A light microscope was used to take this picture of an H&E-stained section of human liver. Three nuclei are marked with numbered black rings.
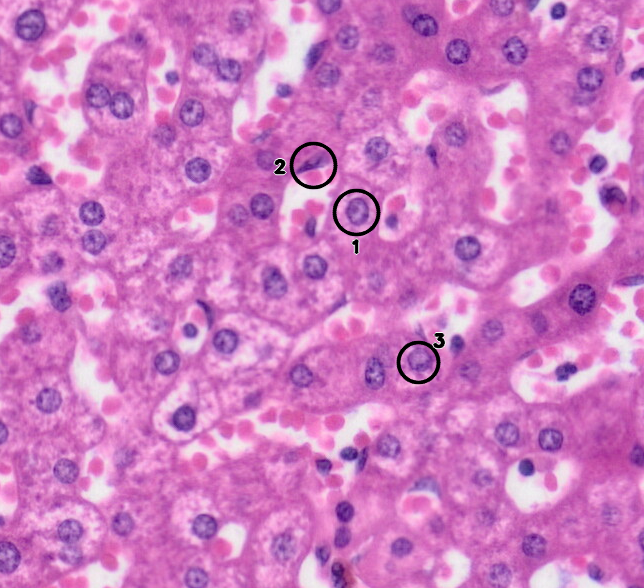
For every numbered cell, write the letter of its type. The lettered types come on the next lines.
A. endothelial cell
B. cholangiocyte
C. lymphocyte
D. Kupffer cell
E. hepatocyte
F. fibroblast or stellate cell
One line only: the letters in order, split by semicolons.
E; A; E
